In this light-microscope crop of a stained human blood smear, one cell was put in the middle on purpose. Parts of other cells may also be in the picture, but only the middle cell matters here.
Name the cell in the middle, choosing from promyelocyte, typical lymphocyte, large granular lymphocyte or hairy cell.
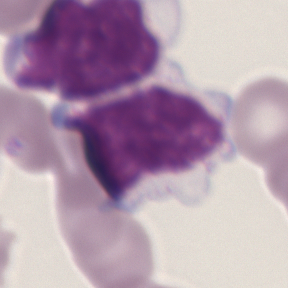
large granular lymphocyte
